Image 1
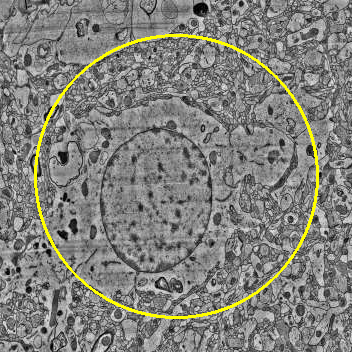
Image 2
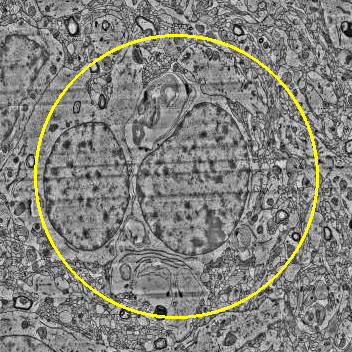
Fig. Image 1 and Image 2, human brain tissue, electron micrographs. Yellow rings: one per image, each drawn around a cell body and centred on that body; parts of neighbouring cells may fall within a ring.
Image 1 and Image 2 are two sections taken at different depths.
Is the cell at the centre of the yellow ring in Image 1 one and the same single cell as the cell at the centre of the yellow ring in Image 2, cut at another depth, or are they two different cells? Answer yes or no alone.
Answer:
no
